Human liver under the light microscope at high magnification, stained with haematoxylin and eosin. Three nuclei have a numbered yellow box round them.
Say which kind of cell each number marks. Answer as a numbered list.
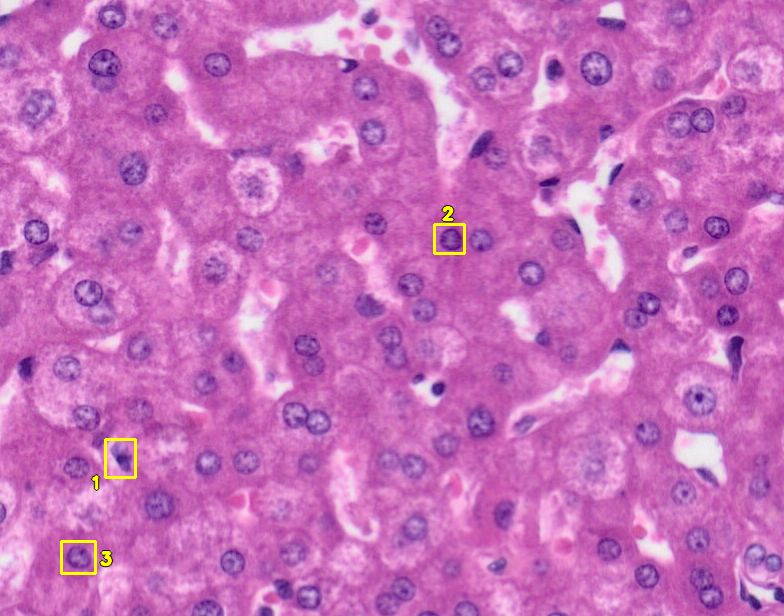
1. endothelial cell
2. hepatocyte
3. hepatocyte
